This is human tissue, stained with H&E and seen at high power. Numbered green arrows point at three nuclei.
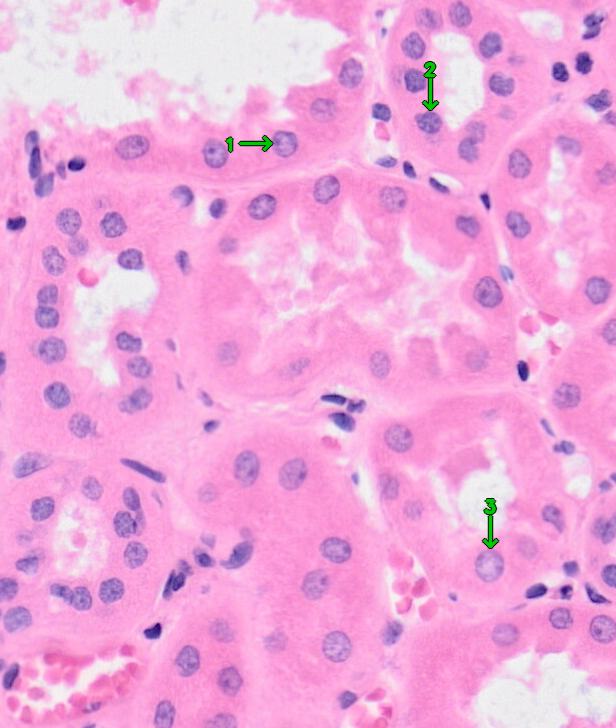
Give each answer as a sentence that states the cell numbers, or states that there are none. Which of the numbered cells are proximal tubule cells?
The cells whose numbers are 1 and 3 are proximal tubule cells.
